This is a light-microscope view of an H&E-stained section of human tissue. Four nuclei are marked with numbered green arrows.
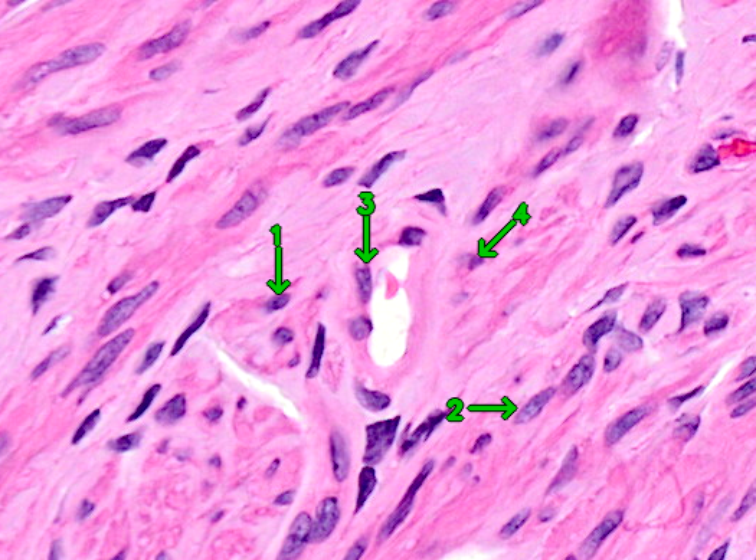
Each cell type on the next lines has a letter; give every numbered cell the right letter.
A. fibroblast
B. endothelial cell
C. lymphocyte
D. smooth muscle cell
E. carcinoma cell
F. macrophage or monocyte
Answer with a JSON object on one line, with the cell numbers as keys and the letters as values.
{"1": "D", "2": "D", "3": "B", "4": "D"}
